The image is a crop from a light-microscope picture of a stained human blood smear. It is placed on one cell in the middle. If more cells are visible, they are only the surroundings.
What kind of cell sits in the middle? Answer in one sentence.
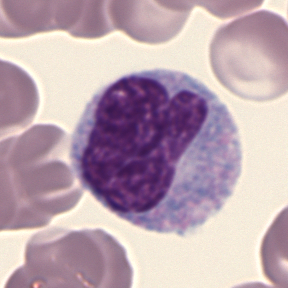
The cell marked by its central position in the crop is a monocyte.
